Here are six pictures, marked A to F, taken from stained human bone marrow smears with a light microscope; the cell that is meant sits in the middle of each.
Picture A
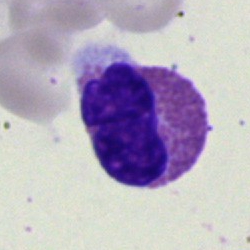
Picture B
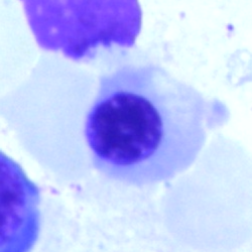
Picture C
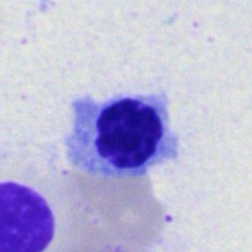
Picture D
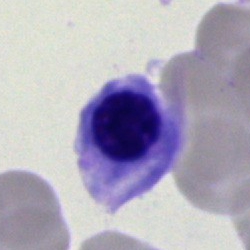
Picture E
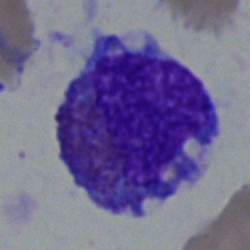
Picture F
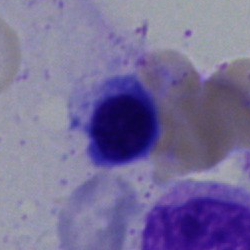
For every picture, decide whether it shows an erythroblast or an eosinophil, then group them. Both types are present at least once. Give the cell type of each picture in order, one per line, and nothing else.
eosinophil
erythroblast
erythroblast
erythroblast
eosinophil
erythroblast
